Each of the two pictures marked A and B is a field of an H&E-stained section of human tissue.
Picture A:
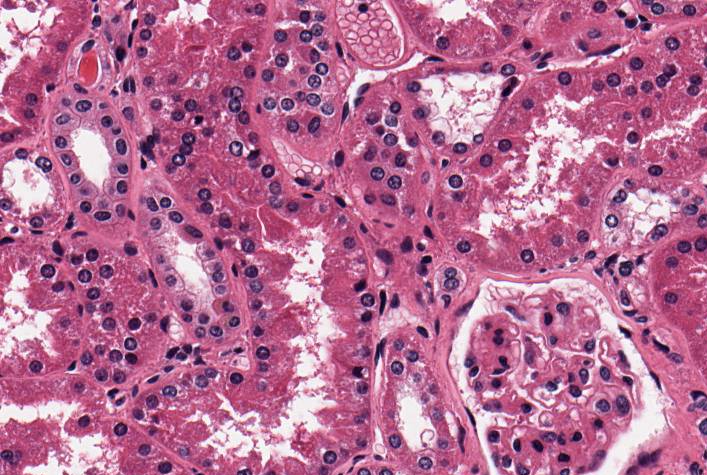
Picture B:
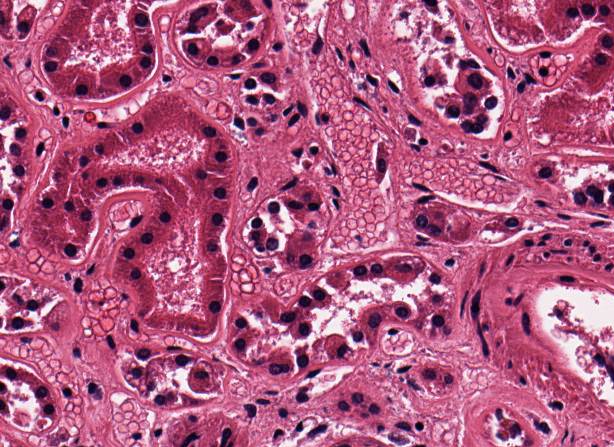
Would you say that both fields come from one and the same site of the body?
yes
